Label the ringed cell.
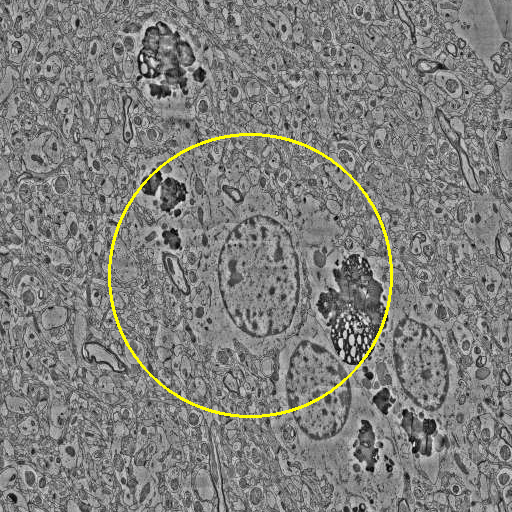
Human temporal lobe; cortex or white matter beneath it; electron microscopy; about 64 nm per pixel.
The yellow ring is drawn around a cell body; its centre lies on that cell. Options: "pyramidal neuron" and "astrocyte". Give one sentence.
The ringed cell is an astrocyte.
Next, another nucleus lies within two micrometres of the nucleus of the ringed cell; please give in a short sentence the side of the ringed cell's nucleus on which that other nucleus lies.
The second nucleus lies to the lower right of it.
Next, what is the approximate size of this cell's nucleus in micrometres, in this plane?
Approximately 8 by 5 micrometers in this plane.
